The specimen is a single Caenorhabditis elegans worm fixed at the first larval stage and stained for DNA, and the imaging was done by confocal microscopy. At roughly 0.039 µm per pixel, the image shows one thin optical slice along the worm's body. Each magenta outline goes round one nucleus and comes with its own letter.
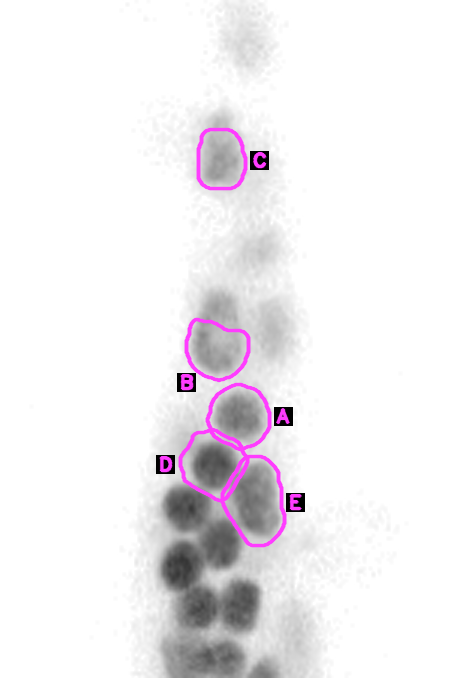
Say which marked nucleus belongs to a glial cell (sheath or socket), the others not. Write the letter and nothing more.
D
